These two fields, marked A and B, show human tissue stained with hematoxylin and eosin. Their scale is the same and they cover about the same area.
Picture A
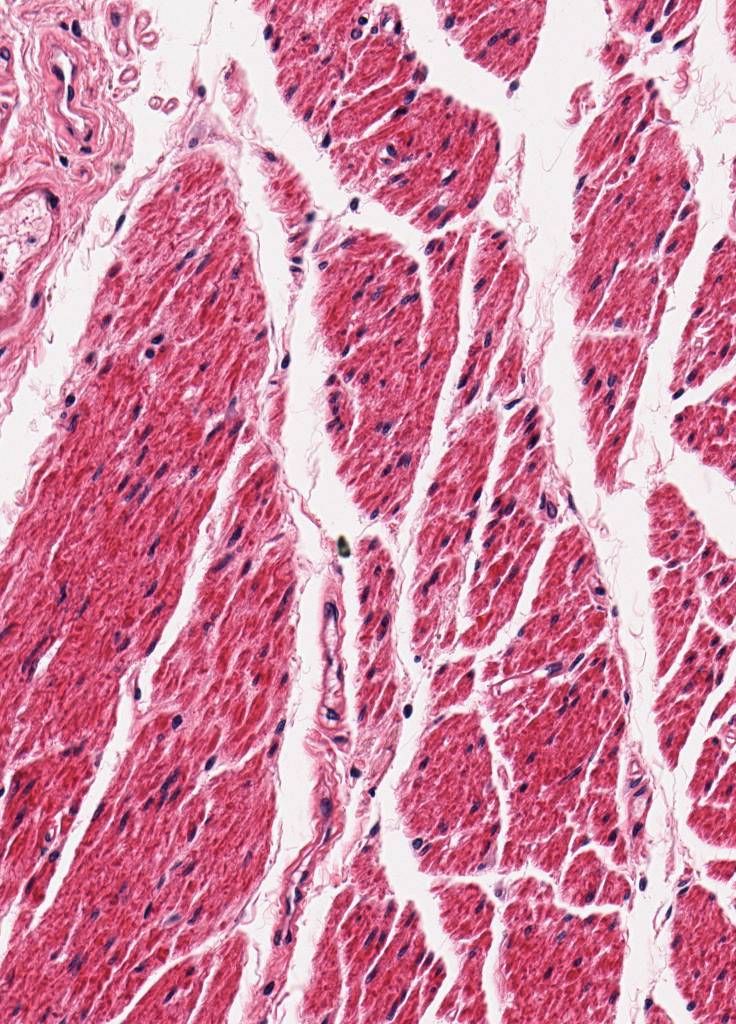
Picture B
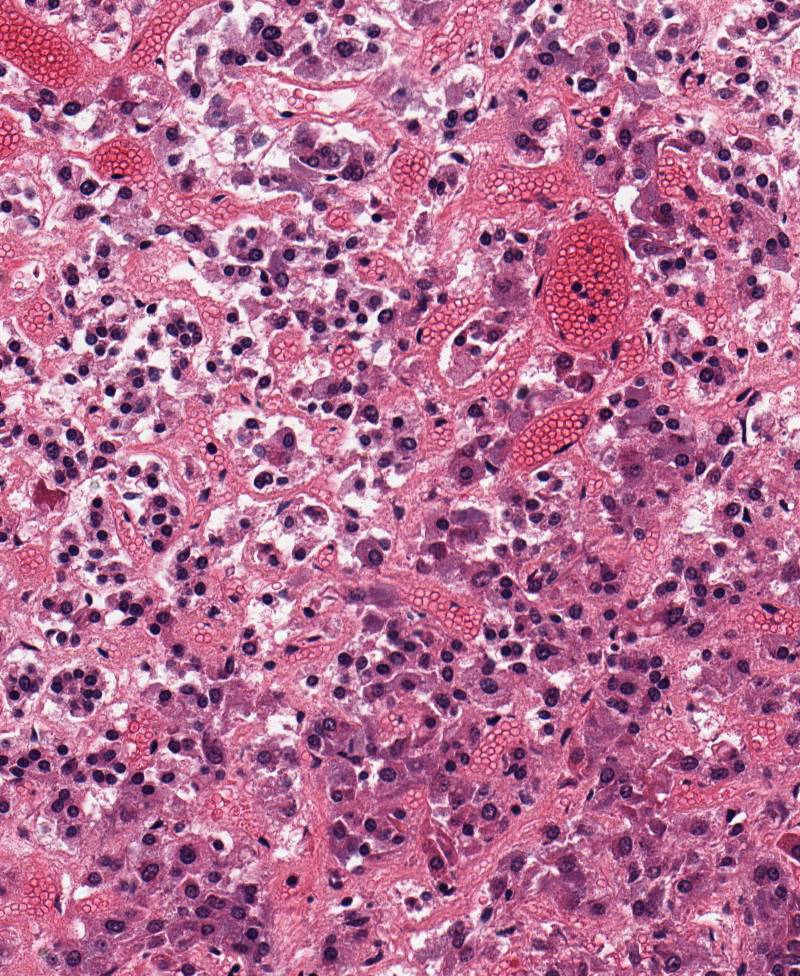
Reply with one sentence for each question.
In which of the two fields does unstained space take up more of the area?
Picture A has more white space.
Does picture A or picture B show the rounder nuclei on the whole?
On the whole the nuclei of picture B are rounder than those of picture A.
